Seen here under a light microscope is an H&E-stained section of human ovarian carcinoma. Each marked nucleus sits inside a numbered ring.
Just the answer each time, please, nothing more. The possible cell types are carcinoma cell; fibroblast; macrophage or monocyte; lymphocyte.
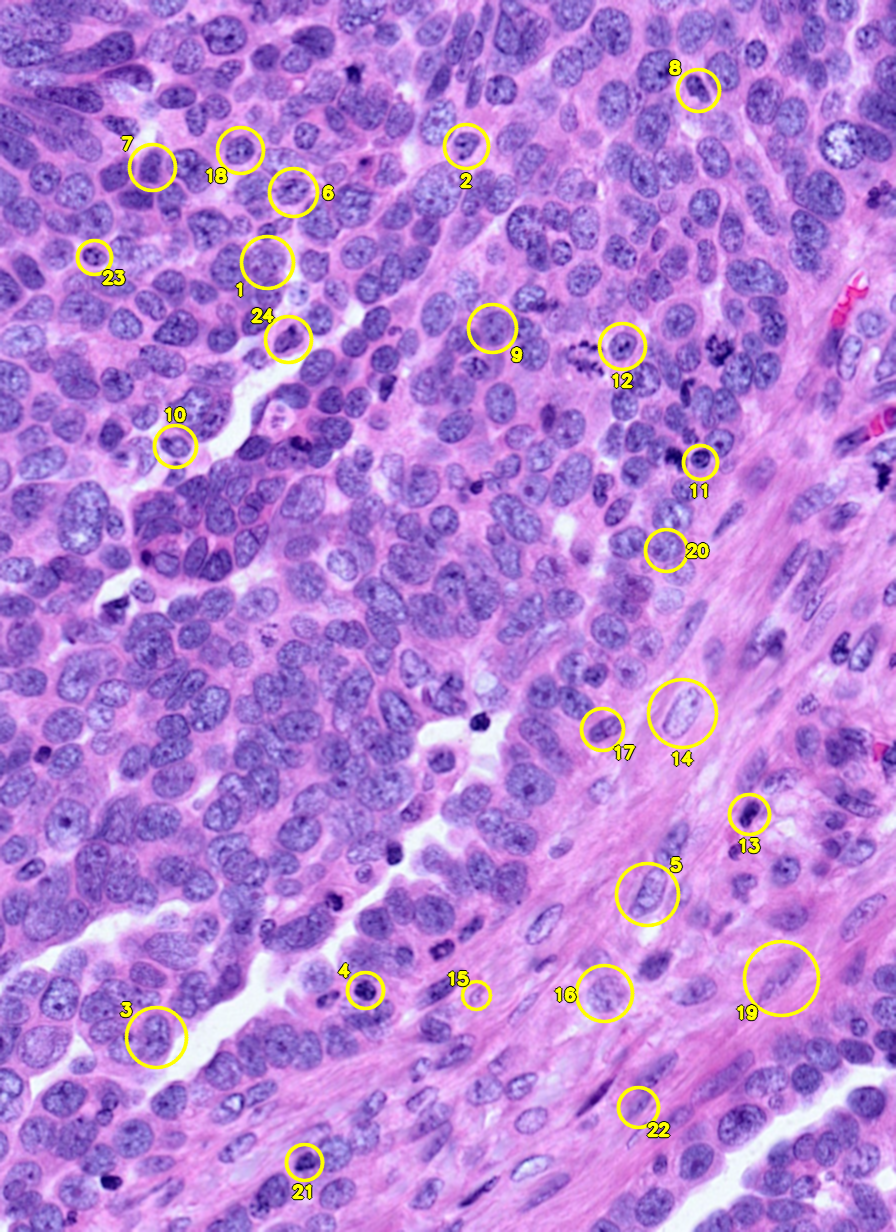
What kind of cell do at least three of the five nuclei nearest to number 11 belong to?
carcinoma cell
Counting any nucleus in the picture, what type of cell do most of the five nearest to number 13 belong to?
fibroblast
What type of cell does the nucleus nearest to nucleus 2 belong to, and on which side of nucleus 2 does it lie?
a carcinoma cell; above and to the left of nucleus 2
